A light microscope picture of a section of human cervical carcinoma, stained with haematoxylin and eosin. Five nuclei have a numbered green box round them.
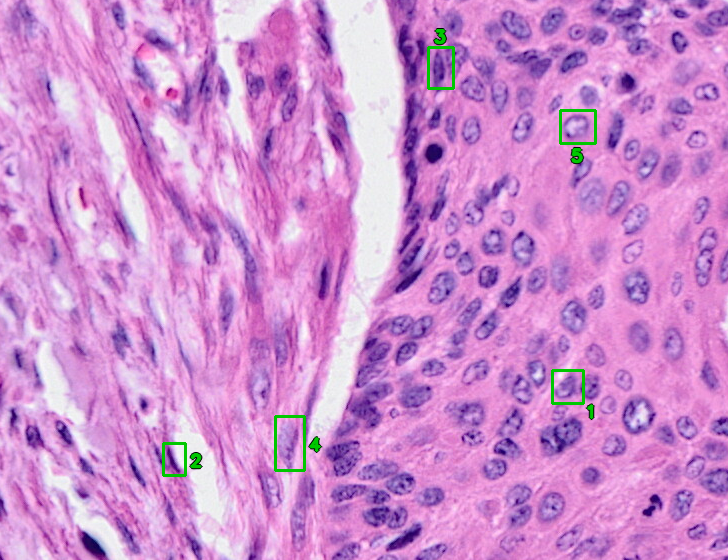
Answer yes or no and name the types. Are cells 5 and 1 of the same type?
Yes, both are squamous carcinoma cells.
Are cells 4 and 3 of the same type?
No, cell 4 is a fibroblast and cell 3 is a squamous carcinoma cell.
